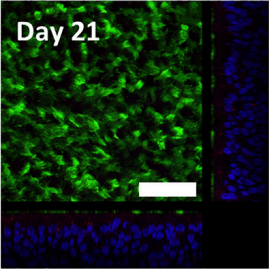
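Narrow orthogonal strips at the right and bottom show the epithelium in section: a layer several nuclei deep of blue oval nuclei stacked in tiers, with the green restricted to the apical edge above them. Red is scarcely seen in this field.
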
